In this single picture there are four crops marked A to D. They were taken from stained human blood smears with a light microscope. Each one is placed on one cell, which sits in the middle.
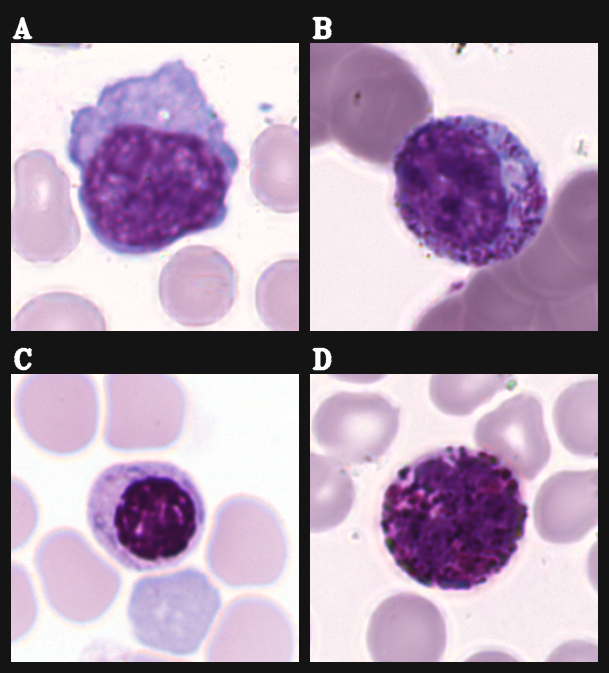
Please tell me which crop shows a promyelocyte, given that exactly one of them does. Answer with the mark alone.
B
